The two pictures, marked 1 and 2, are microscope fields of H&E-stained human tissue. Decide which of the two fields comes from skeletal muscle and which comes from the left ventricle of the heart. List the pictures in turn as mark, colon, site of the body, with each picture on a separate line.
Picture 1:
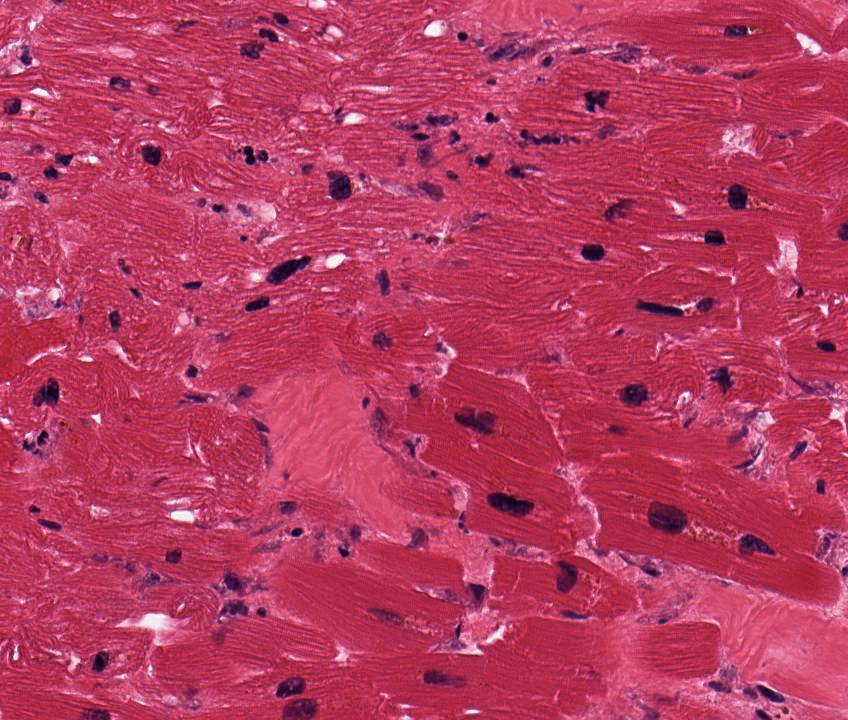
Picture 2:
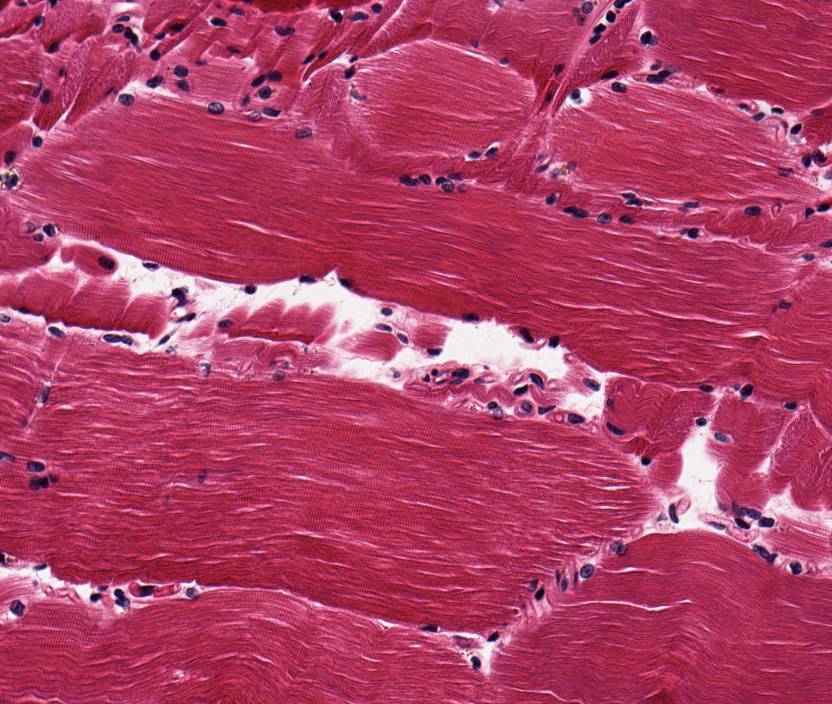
1: left ventricle of the heart
2: skeletal muscle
